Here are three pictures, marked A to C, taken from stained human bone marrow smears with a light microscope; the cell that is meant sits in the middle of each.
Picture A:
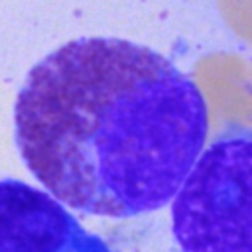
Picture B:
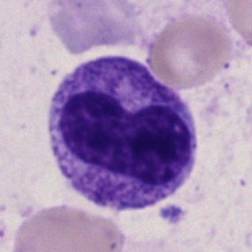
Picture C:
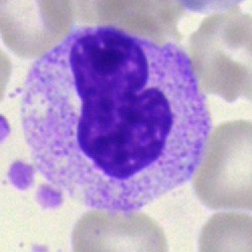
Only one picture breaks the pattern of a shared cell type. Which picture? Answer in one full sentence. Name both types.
Unlike the rest, which show band neutrophils, picture A shows an eosinophil.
